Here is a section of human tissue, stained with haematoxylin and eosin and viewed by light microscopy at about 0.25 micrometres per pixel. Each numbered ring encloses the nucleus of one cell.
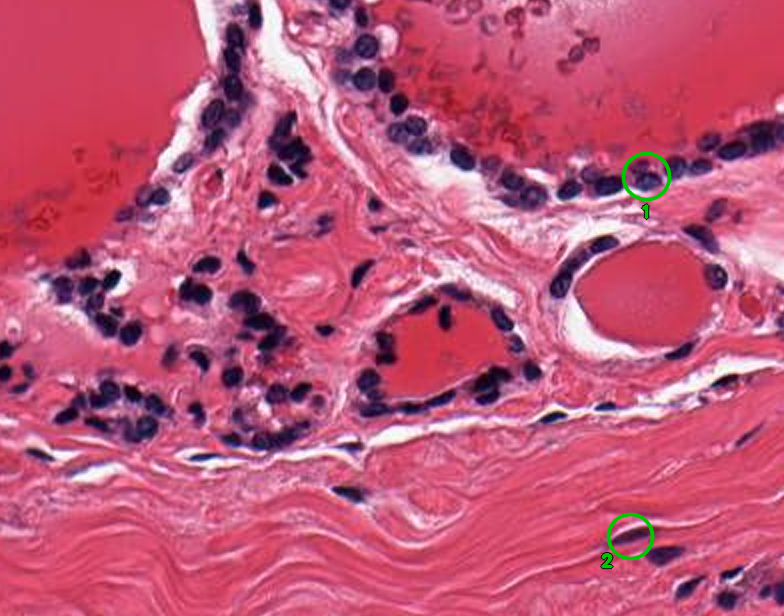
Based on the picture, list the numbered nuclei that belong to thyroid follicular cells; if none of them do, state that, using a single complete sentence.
In contrast to the rest of the numbered nuclei, nucleus 1 belongs to a thyroid follicular cell.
